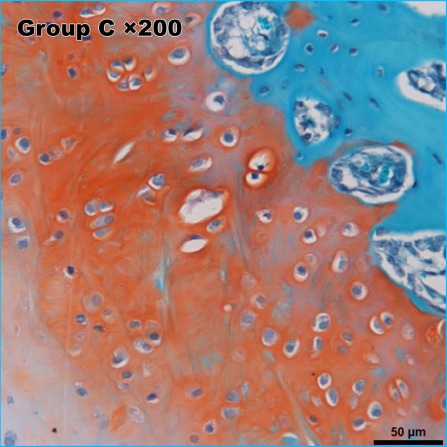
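Cartilage with chondrocytes in lacunae, scattered irregularly rather than in orderly columns, some lacunae enlarged and holding cell clusters, within a paler, patchy orange-brown matrix. At the upper right, a blue-green stained region contains rounded spaces filled with loose cellular tissue, bordering the orange matrix without a distinct line between them.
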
